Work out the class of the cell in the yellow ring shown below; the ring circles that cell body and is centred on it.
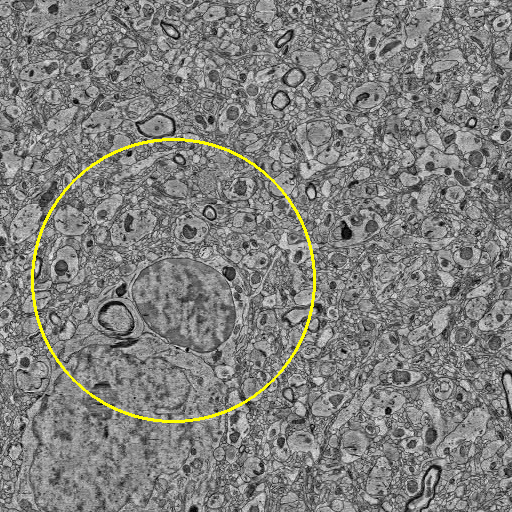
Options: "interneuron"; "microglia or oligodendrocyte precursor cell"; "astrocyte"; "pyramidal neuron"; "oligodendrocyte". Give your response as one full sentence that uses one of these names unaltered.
The body ringed in yellow, right at the ring's centre, is that of a microglial cell or oligodendrocyte precursor cell.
